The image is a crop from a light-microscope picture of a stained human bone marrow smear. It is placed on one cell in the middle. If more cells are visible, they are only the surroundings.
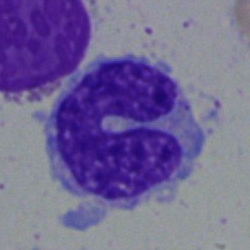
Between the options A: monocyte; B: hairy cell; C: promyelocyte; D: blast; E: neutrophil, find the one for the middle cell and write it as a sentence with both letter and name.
Since the cell in the middle is a monocyte, option A is correct.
